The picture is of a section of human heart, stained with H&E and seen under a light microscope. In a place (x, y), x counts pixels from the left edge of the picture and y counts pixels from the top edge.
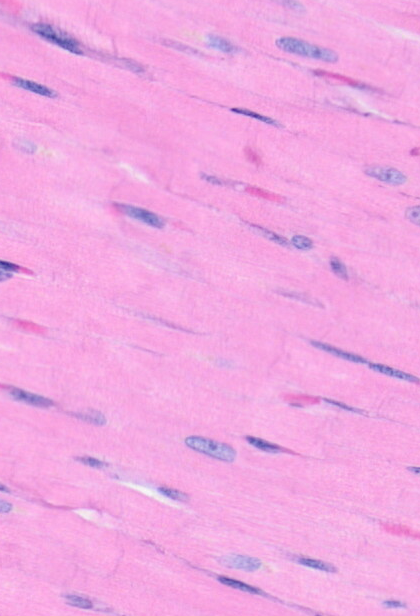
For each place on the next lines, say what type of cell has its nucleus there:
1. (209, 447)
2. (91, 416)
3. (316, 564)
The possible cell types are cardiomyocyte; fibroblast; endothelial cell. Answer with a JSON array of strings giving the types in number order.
["cardiomyocyte", "cardiomyocyte", "endothelial cell"]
